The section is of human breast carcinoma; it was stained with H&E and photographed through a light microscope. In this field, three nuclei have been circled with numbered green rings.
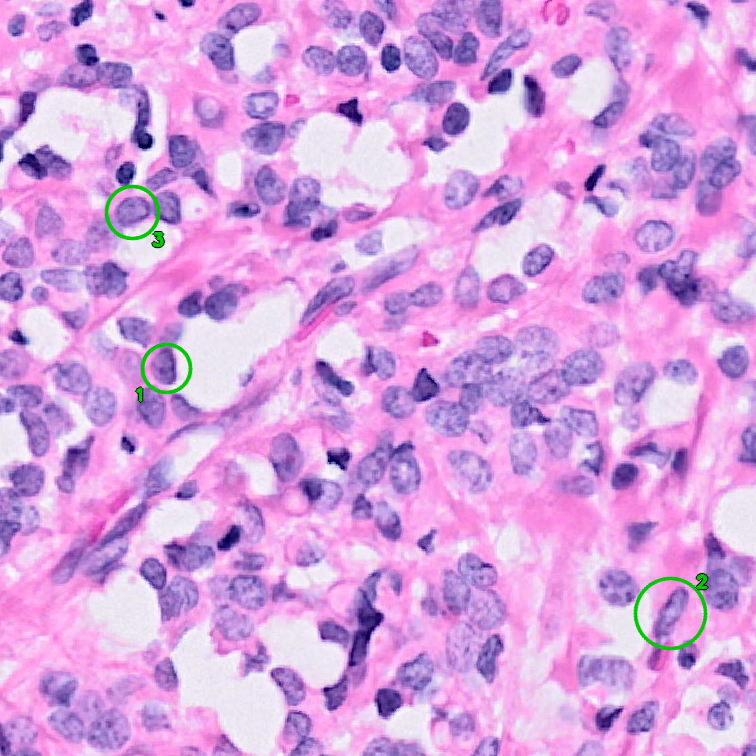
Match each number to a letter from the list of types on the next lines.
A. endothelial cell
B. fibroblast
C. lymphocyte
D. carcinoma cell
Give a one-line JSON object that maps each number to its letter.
{"1": "D", "2": "A", "3": "D"}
